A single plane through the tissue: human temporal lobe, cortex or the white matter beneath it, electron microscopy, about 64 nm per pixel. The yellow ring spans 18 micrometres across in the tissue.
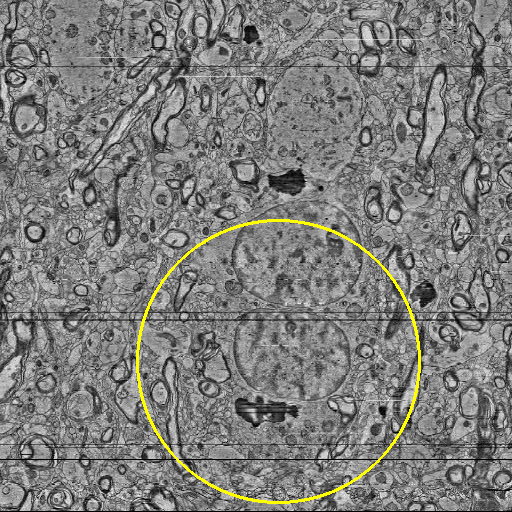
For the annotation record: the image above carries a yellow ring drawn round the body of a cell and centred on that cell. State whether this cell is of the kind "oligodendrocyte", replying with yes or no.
Yes, this cell is of that kind.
